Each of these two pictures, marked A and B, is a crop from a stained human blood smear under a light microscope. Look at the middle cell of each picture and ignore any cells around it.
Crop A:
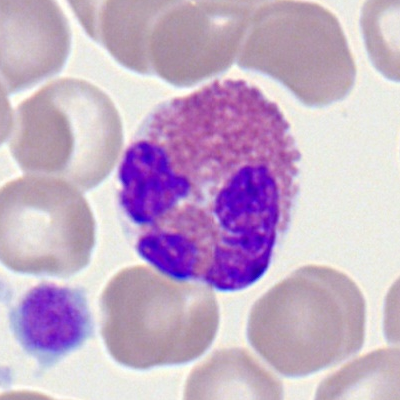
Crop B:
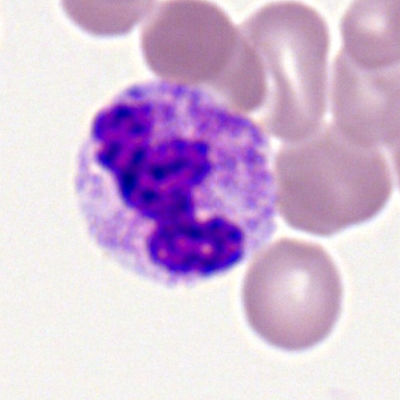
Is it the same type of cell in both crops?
no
